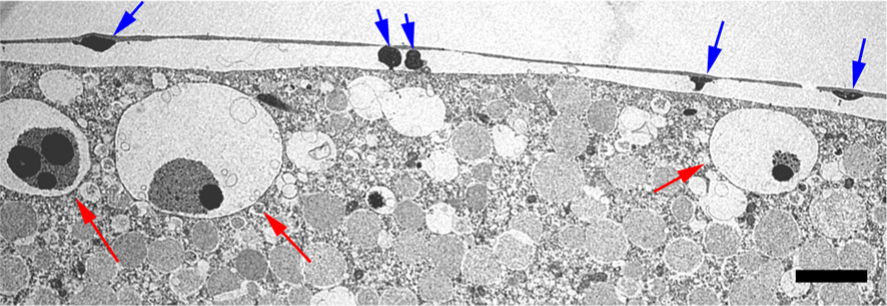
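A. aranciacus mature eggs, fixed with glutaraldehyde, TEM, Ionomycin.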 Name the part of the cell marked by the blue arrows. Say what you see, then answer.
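Small electron-dense bodies lie outside the egg surface. The dense bodies sit in a pale gap between a thin outer layer and the egg's surface. The answer: the remnant of the cortical granules.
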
